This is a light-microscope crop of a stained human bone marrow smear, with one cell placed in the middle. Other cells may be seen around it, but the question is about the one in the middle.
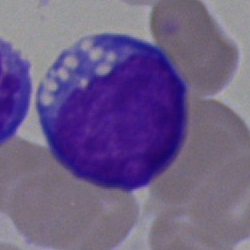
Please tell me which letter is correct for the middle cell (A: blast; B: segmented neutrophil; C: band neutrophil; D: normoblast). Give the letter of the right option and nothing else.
A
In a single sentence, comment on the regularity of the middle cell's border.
No projections interrupt the outline; it is smooth all the way round.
